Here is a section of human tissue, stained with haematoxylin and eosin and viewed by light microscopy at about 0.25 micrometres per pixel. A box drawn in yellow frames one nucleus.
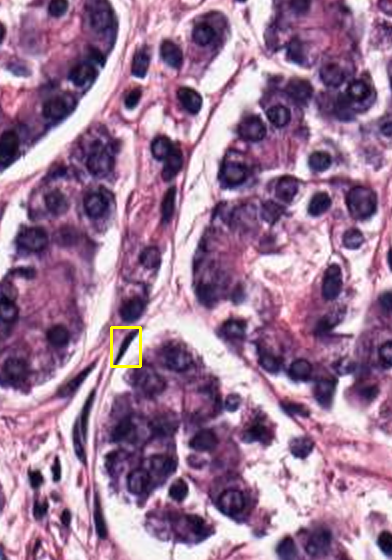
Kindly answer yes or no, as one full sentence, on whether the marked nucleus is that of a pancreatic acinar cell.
No, the marked nucleus is not from a pancreatic acinar cell; a supporting cell is its source.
